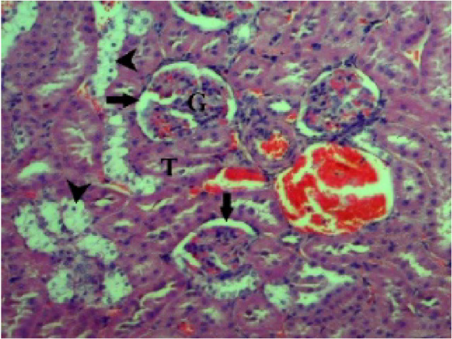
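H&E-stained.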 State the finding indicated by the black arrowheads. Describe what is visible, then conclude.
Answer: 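The marked tubules are filled with pale, clear vacuoles. They contrast with the pink-staining tubules nearby.
Hence: vacuolar degeneration of the renal tubules.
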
